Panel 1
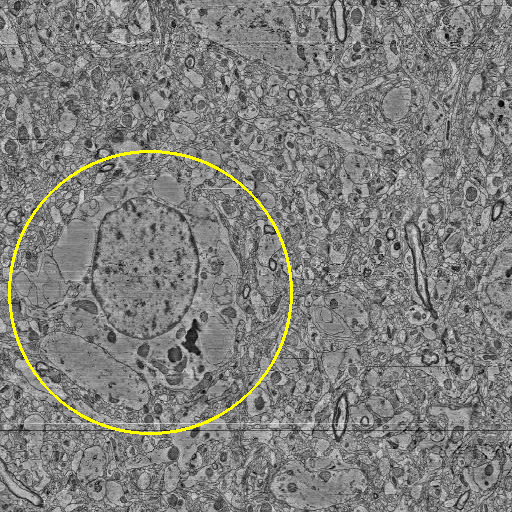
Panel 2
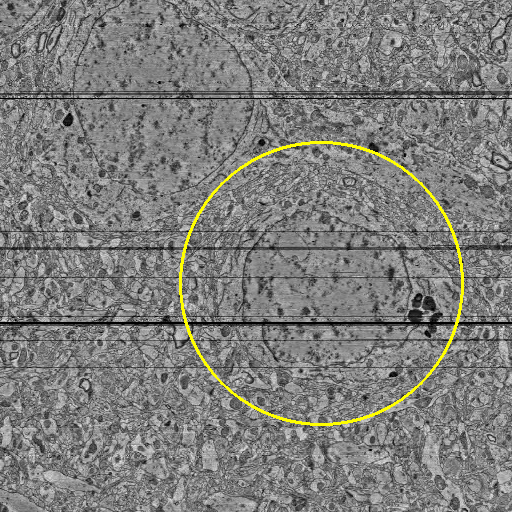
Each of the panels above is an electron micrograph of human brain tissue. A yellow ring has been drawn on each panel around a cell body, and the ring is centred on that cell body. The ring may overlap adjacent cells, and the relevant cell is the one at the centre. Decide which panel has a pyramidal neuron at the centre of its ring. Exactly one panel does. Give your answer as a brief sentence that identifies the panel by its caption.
Panel 2 is the one with it at the centre of the ring.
